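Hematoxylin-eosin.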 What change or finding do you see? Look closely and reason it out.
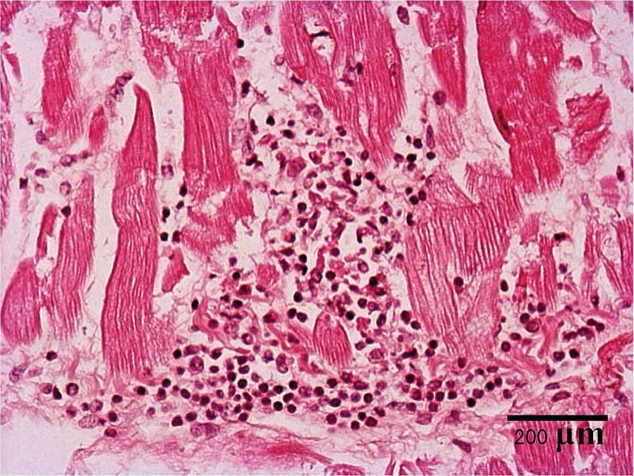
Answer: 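A dense cluster of small round cells with dark, round nuclei lies between the muscle fibres. The small round cells have scant cytoplasm. The cluster is concentrated in one area, centre and lower part of the field.
Hence: focal lymphocytic infiltrates.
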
